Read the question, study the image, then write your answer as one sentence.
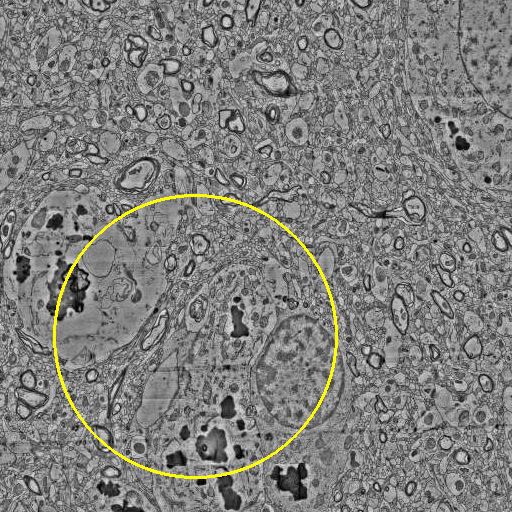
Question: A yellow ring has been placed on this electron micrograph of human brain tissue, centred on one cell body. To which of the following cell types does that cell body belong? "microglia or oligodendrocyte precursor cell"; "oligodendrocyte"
That cell body belongs to a microglial cell or oligodendrocyte precursor cell.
